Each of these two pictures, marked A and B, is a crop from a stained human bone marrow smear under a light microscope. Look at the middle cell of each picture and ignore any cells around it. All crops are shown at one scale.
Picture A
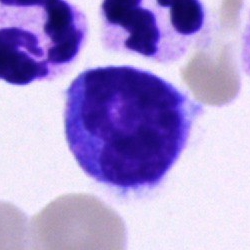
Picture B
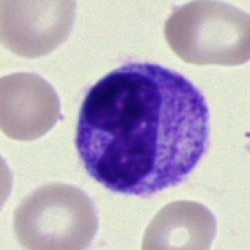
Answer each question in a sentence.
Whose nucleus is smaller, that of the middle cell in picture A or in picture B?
Picture B shows the smaller nucleus, since that in picture A covers about 1.5 times as much area.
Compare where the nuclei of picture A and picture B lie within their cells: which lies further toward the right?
In picture A the nucleus is shifted more toward the right.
